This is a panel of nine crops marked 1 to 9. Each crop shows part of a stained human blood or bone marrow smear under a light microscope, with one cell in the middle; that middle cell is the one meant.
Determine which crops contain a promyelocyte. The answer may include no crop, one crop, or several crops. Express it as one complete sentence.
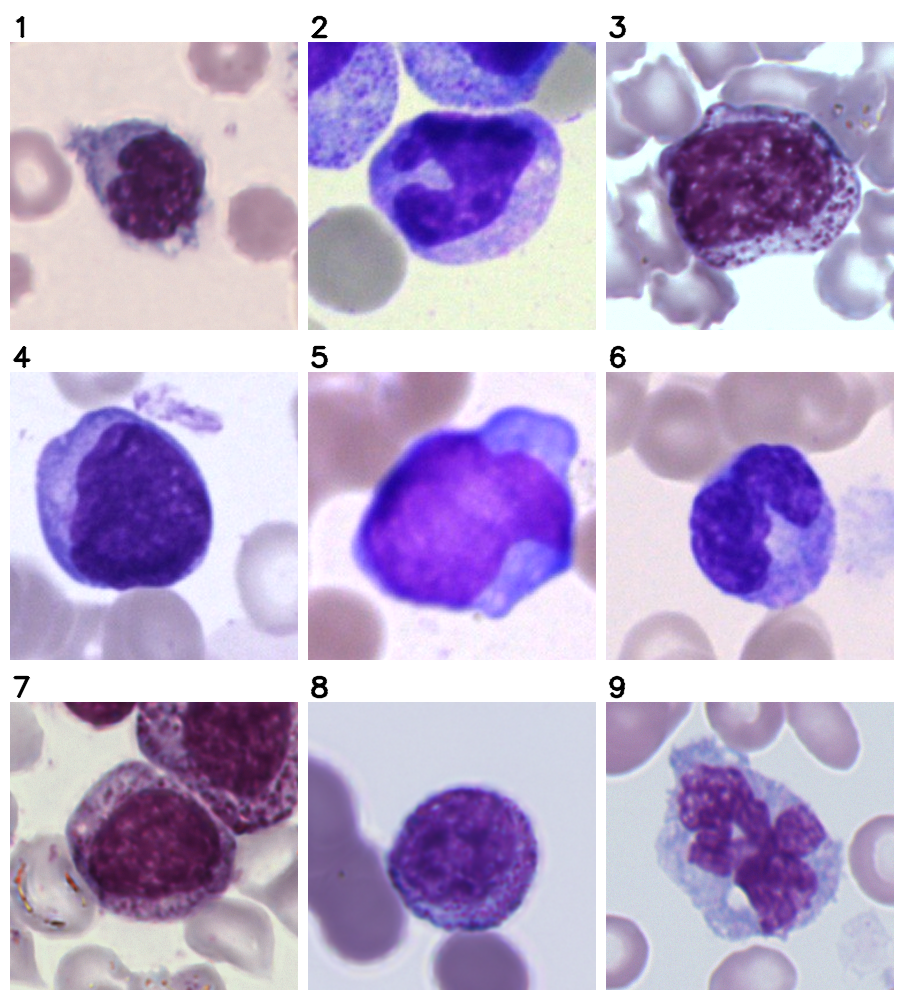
There is only one crop with a promyelocyte, and that is crop 8.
